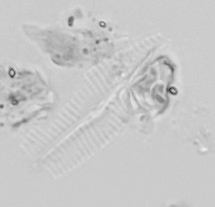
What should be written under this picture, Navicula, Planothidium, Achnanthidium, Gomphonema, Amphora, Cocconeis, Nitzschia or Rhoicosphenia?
Navicula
